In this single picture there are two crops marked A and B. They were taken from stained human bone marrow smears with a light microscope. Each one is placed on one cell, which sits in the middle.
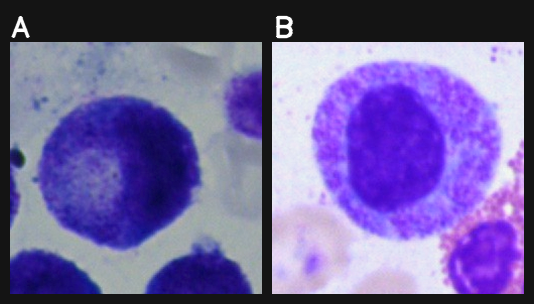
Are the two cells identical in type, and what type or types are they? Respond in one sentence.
Yes, both crops have promyelocytes as their central cells.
